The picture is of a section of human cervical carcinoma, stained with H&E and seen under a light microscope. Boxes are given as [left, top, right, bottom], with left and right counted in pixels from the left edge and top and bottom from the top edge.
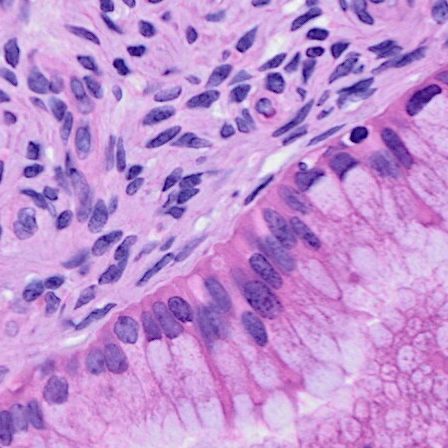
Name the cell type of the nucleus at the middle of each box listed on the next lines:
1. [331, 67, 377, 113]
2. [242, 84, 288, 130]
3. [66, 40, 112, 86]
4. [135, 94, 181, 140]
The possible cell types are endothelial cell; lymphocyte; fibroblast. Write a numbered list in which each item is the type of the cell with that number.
1. fibroblast
2. endothelial cell
3. fibroblast
4. fibroblast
